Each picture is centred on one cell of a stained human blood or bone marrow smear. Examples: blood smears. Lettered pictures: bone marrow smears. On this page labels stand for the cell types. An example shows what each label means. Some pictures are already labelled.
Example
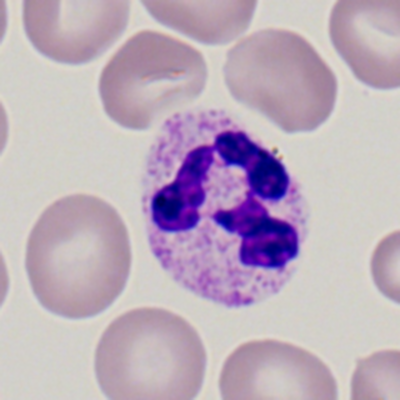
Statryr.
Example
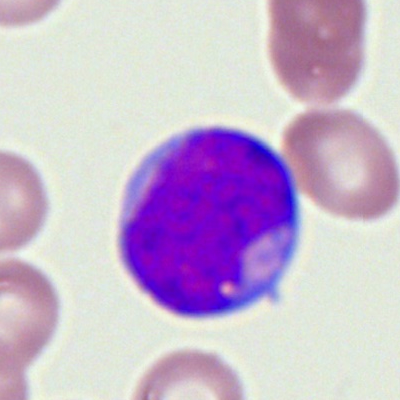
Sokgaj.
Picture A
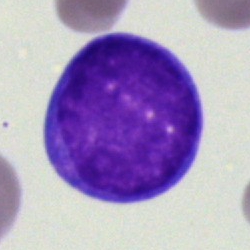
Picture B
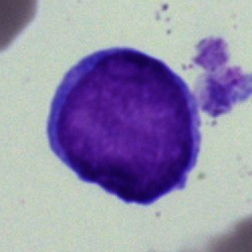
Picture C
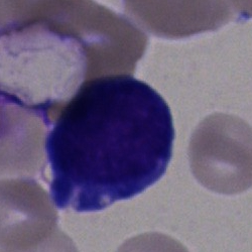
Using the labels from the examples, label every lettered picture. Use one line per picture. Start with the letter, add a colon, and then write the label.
A: Sokgaj.
B: Sokgaj.
C: Sokgaj.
